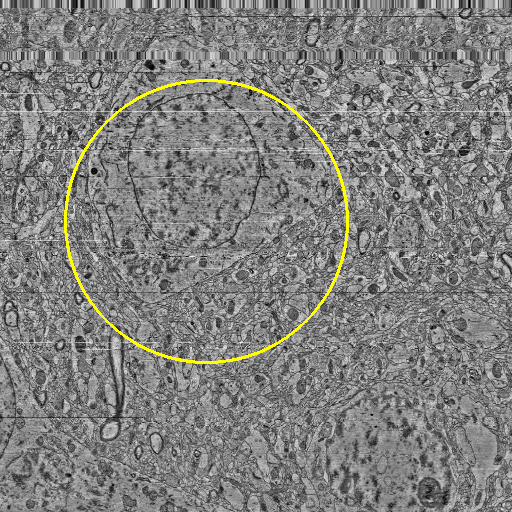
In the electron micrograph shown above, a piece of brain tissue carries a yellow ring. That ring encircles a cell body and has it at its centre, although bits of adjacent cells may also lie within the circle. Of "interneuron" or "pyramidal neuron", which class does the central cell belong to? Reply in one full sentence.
The cell body at the centre of the yellow ring belongs to a pyramidal neuron.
